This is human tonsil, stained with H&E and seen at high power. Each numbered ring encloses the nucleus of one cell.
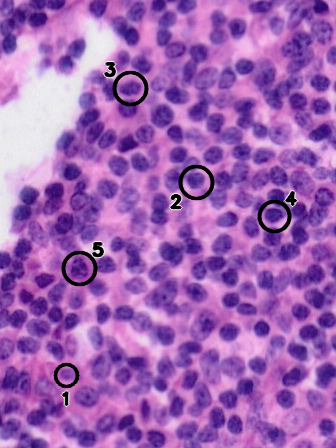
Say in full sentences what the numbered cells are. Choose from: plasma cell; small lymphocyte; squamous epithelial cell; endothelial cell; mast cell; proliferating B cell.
Cell 1 is an endothelial cell, cell 2 is a small lymphocyte, cell 3 is a small lymphocyte, cell 4 is a small lymphocyte and cell 5 is a plasma cell.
